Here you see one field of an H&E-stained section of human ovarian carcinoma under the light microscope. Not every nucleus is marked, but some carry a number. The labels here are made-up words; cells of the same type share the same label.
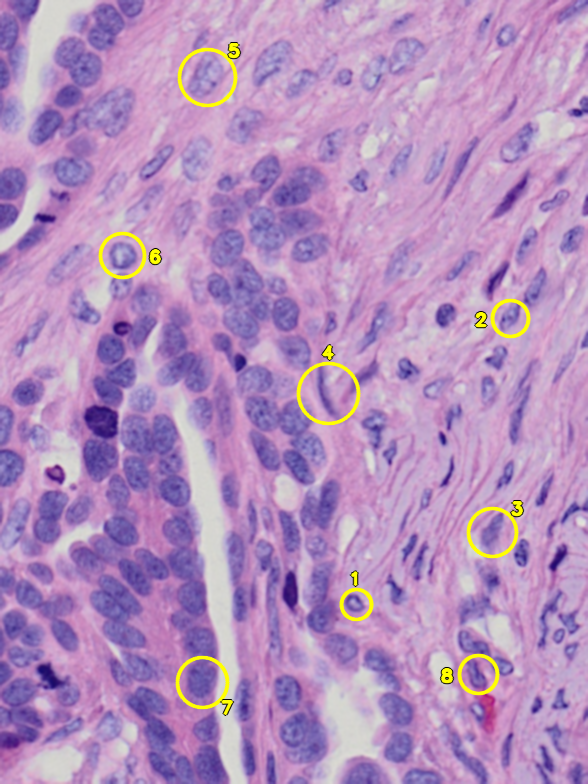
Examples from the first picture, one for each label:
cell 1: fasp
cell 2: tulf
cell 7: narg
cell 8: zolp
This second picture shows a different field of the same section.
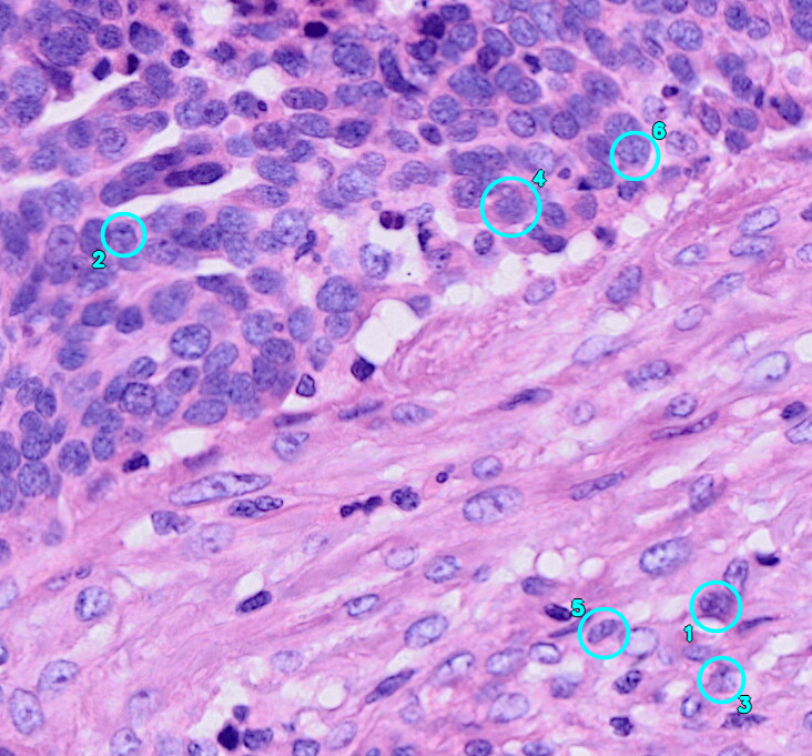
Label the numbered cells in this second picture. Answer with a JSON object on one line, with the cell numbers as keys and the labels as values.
{"1": "zolp", "2": "narg", "3": "tulf", "4": "narg", "5": "fasp", "6": "narg"}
